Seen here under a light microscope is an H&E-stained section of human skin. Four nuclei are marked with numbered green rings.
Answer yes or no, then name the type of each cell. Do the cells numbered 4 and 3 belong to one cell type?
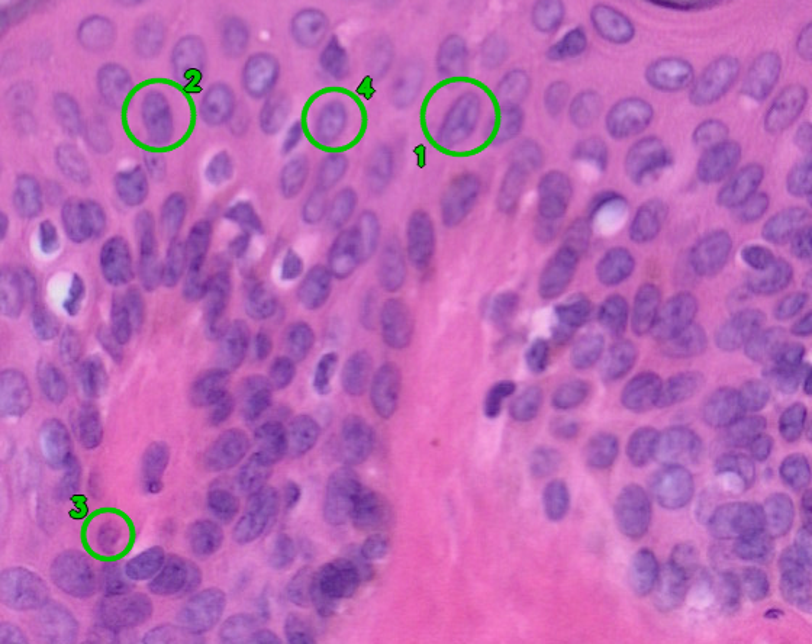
No, cell 4 is a suprabasal keratinocyte and cell 3 is a basal keratinocyte.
